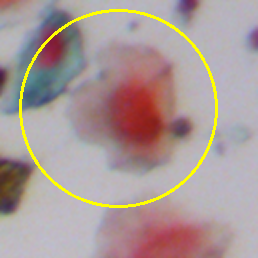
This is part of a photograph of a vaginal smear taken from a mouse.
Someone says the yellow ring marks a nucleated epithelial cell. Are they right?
They are right: it is a nucleated epithelial cell.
